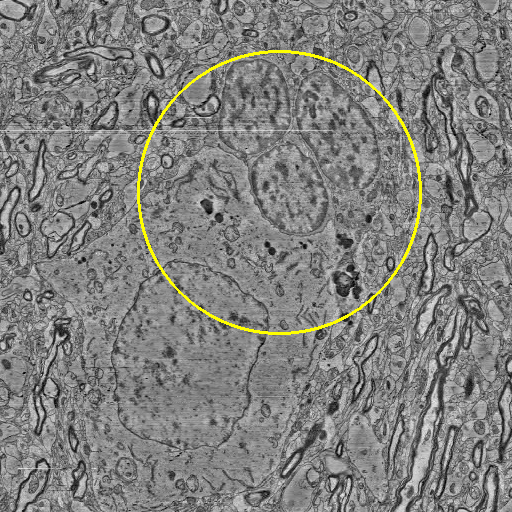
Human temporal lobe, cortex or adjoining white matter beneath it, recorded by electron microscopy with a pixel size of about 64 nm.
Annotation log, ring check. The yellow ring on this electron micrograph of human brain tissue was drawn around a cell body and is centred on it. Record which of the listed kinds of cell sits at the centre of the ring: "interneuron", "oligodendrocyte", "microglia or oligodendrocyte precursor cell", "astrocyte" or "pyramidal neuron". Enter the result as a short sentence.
The cell at the centre of the ring is an oligodendrocyte.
